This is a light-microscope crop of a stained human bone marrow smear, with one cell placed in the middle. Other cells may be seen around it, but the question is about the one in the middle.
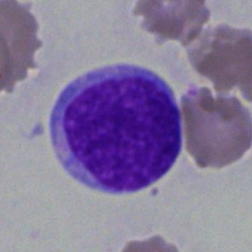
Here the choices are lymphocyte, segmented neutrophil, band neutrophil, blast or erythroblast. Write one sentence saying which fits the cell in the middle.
Occupying the centre of the crop is a blast.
